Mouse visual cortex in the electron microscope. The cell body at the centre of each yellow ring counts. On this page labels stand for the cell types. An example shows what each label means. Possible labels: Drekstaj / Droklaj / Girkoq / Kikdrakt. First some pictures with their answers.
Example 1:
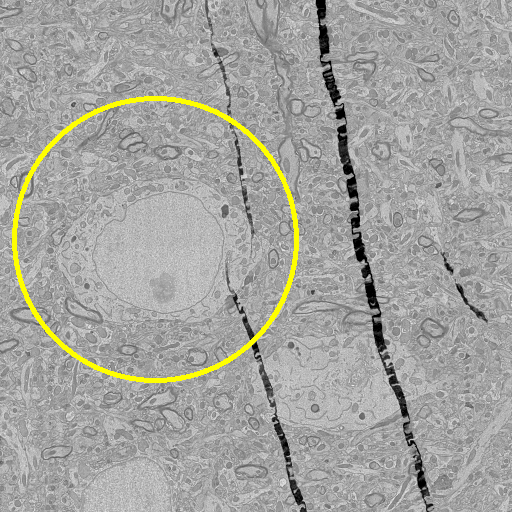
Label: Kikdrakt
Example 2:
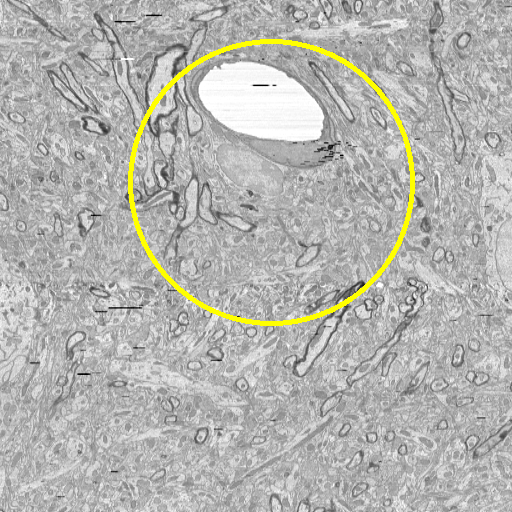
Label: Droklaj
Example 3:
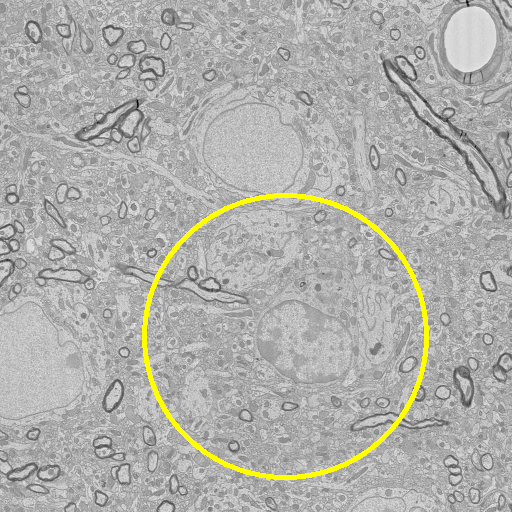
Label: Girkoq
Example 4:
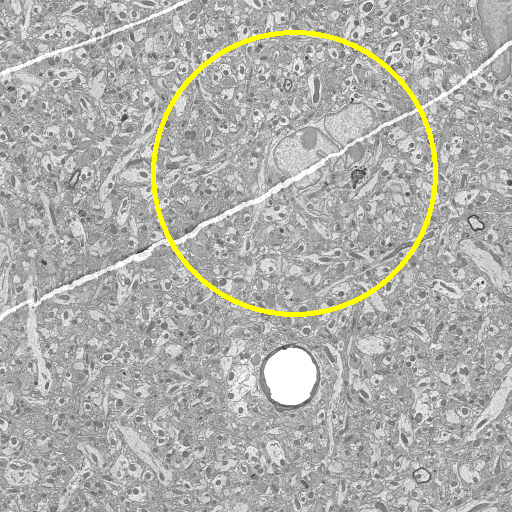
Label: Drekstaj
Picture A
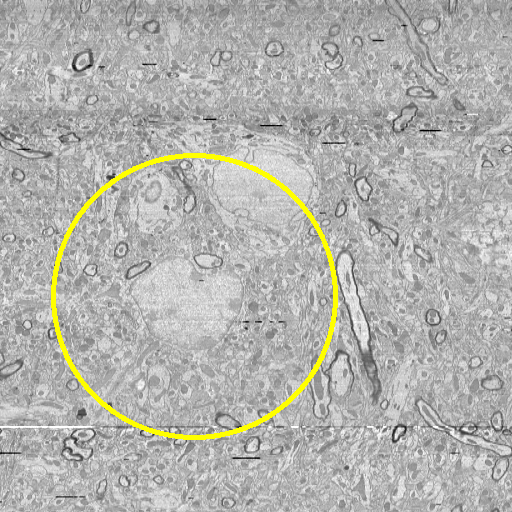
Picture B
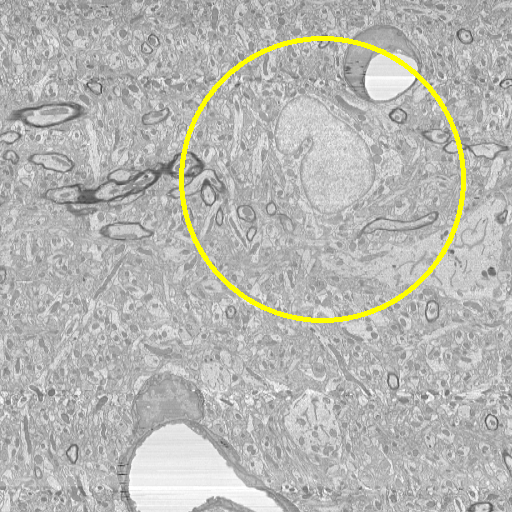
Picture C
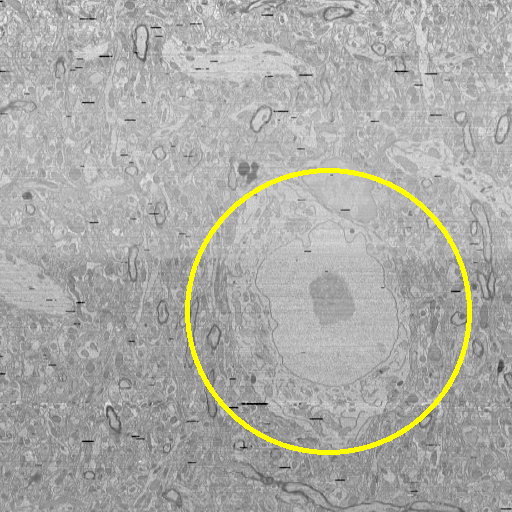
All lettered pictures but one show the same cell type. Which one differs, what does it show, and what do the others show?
Different: C, Kikdrakt. Others: Drekstaj.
